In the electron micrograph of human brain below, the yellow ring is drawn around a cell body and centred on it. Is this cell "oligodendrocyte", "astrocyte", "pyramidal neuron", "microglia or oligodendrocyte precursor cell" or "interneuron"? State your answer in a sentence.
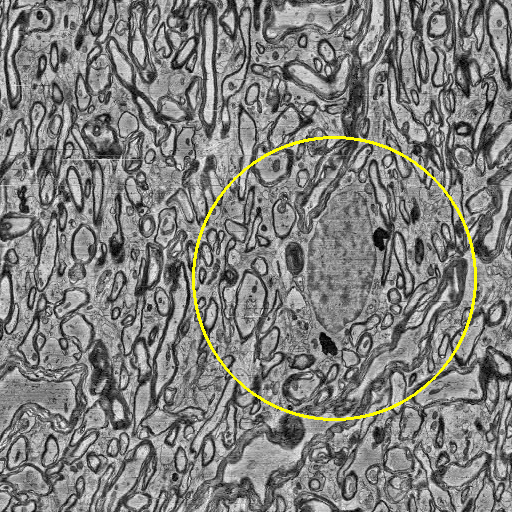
The cell in the middle of the ring is an oligodendrocyte.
